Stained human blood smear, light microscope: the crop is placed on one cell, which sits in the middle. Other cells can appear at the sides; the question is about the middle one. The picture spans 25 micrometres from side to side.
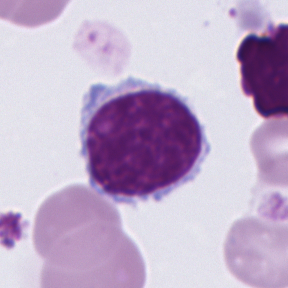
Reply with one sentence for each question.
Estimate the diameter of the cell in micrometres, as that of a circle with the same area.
The cell is about 11 micrometres across.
